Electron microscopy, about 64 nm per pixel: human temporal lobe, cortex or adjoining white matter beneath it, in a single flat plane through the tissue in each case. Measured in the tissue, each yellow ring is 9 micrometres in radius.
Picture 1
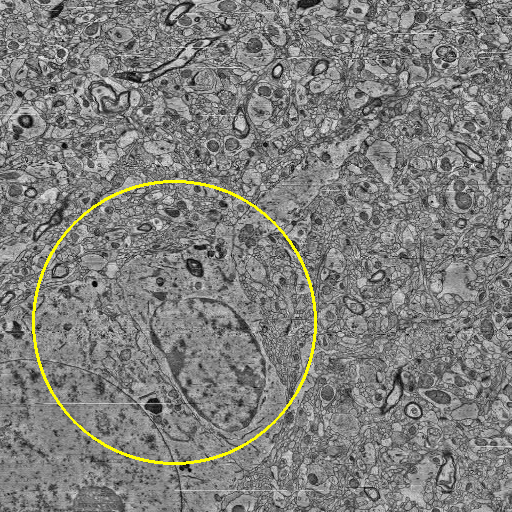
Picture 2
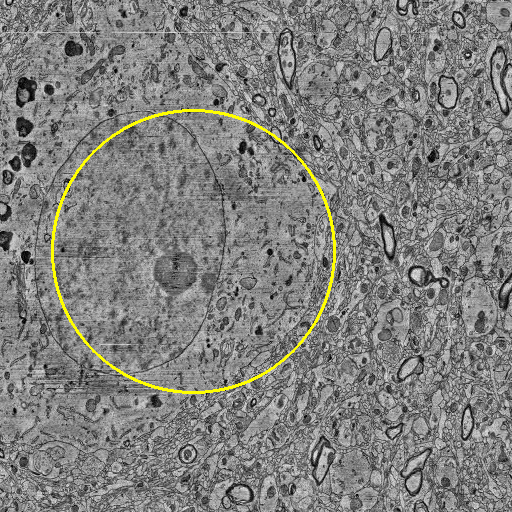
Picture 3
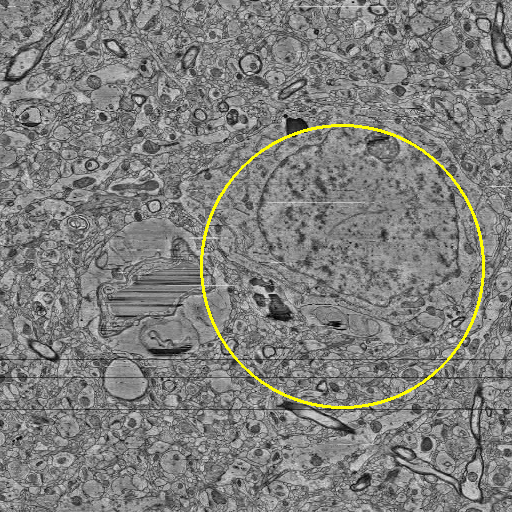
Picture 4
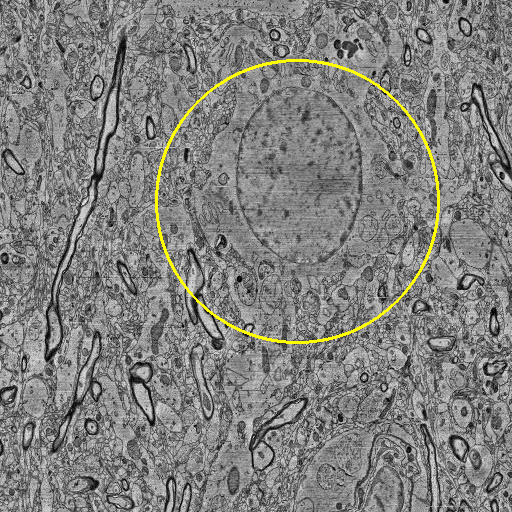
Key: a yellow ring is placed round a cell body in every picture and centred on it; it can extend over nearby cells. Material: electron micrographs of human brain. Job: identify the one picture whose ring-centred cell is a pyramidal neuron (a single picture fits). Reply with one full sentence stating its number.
Picture 2 is the one with the sought cell at the centre of its ring.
